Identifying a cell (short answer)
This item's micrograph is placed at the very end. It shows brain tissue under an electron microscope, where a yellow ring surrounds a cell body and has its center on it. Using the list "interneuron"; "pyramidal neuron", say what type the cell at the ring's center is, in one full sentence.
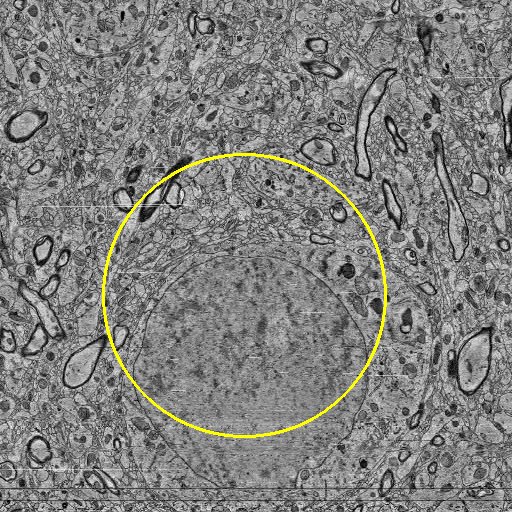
This picture shows a pyramidal neuron at the center of the yellow ring drawn on it.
